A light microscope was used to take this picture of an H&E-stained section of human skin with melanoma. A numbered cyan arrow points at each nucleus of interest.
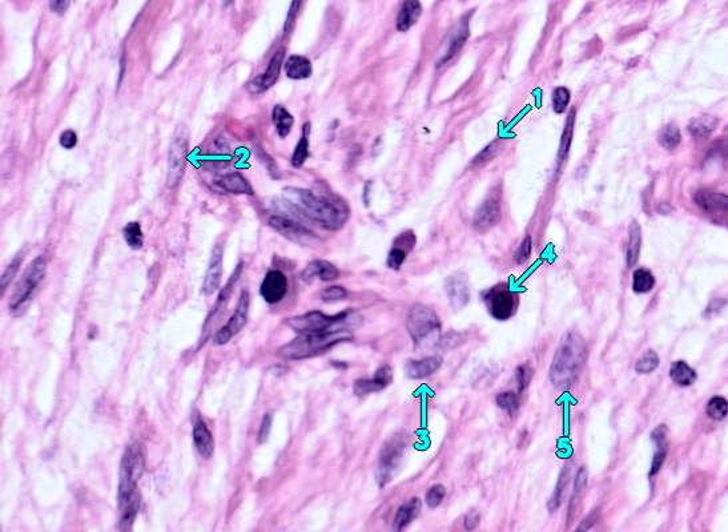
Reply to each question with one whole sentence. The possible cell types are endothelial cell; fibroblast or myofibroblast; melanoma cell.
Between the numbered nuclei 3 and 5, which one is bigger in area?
It is nucleus 5, which covers about 2 times the area of nucleus 3.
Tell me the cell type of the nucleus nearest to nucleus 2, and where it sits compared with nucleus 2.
An endothelial cell lies closest, to the right of nucleus 2.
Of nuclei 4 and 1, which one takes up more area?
Nucleus 4 is larger, with an area about 2 times that of nucleus 1.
